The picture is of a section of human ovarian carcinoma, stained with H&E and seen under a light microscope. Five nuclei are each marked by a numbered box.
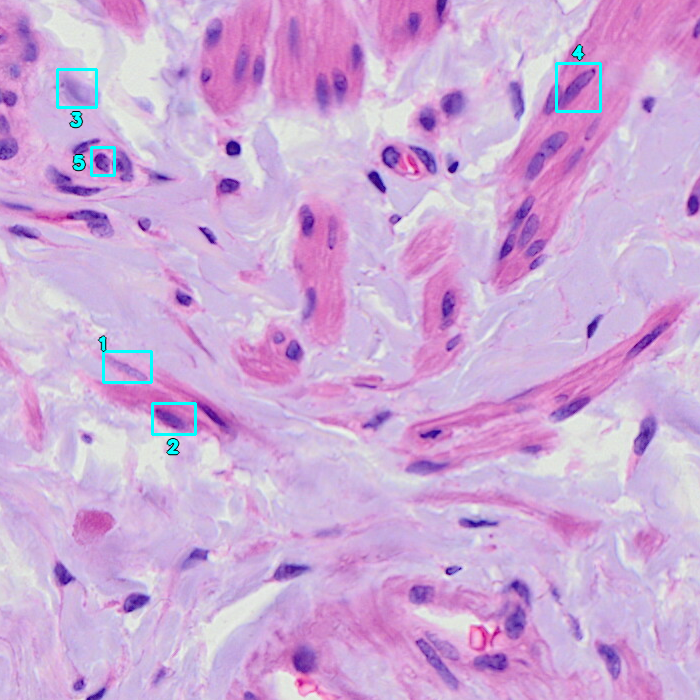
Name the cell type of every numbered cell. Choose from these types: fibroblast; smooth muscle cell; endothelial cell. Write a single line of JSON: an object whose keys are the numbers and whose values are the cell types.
{"1": "smooth muscle cell", "2": "smooth muscle cell", "3": "fibroblast", "4": "smooth muscle cell", "5": "endothelial cell"}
